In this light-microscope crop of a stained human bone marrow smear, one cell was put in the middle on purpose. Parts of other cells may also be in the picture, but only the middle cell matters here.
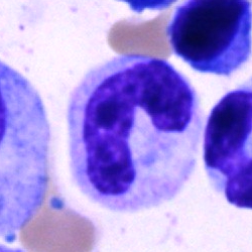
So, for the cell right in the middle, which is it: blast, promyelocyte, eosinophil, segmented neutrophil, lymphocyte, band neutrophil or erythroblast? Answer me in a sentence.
The cell featured at the centre of this crop is a band neutrophil.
